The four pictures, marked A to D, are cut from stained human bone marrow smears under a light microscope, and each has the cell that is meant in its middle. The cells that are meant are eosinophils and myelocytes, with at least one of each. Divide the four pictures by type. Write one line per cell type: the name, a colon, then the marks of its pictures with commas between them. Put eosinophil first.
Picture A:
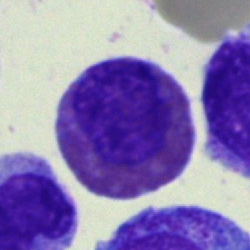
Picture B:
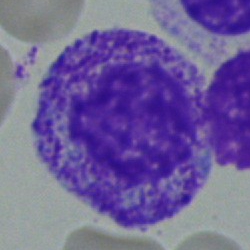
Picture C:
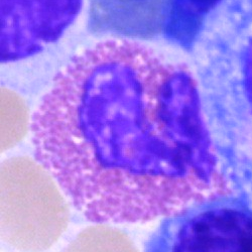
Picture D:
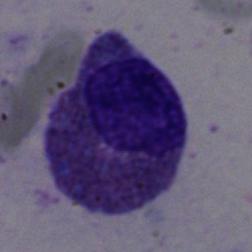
eosinophil: A, C, D
myelocyte: B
